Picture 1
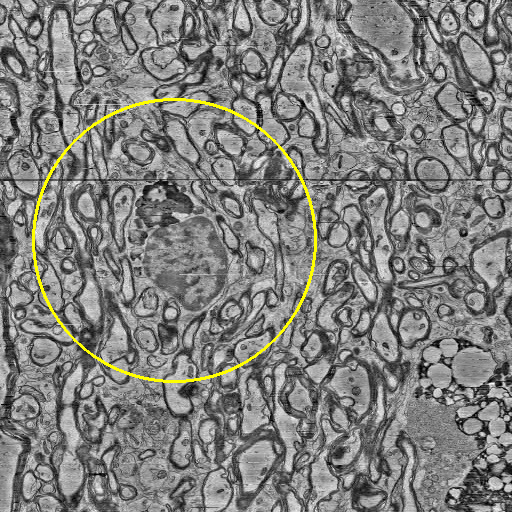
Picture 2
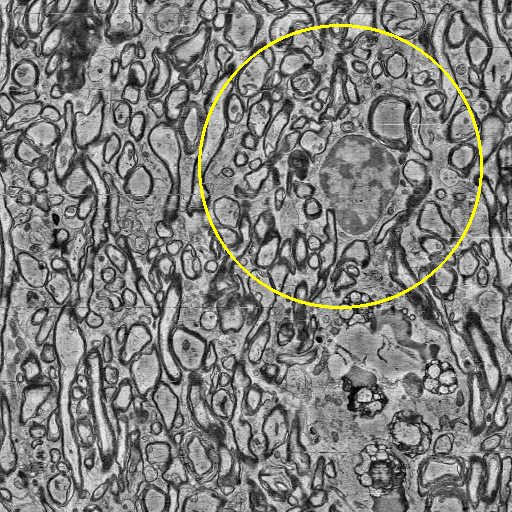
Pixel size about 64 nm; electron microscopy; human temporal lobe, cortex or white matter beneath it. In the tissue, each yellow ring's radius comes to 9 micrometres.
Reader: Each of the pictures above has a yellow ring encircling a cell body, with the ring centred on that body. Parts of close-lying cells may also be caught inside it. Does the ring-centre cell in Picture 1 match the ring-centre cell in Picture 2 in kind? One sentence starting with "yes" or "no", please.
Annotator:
Yes, Picture 1 and Picture 2 show ring-centre cells of a single kind.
